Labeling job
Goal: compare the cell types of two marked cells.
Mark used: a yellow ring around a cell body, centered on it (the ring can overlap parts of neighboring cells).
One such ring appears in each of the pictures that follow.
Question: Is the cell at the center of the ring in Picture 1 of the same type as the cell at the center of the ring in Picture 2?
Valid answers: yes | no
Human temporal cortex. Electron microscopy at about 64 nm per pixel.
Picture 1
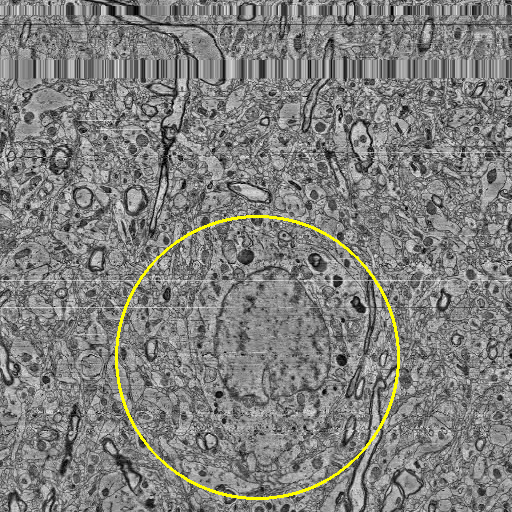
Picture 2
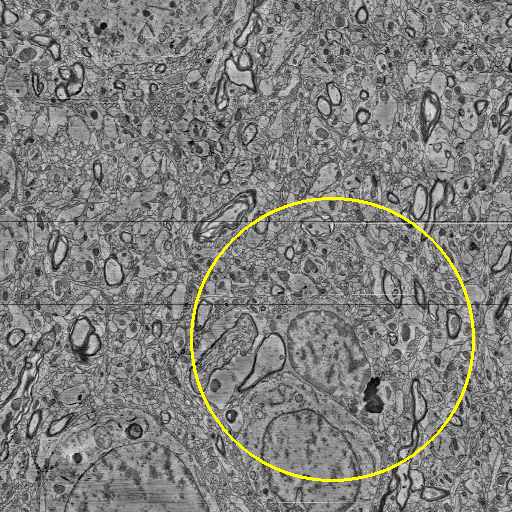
no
